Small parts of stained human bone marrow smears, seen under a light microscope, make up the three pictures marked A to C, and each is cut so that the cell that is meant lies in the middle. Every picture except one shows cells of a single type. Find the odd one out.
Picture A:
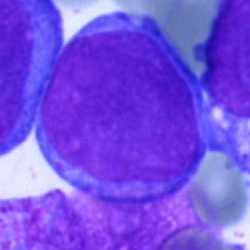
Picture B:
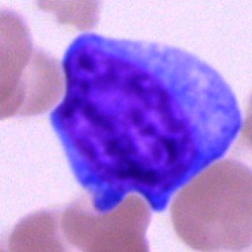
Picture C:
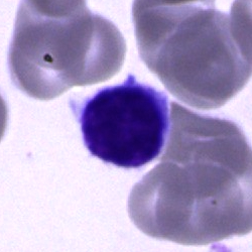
C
